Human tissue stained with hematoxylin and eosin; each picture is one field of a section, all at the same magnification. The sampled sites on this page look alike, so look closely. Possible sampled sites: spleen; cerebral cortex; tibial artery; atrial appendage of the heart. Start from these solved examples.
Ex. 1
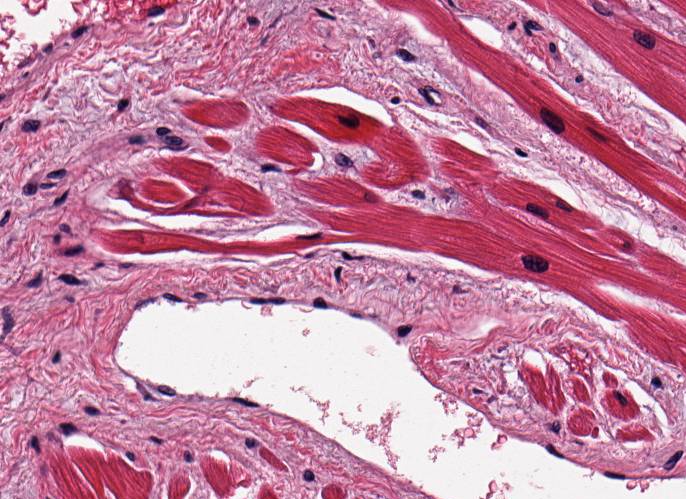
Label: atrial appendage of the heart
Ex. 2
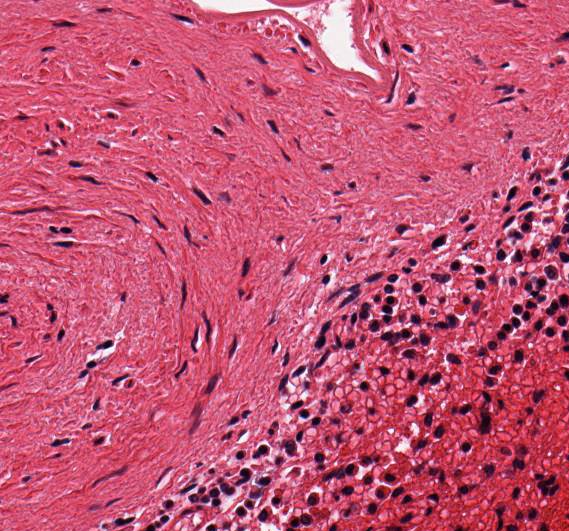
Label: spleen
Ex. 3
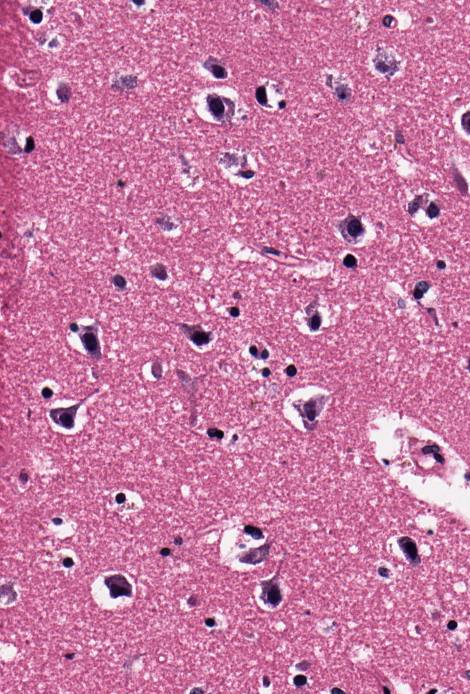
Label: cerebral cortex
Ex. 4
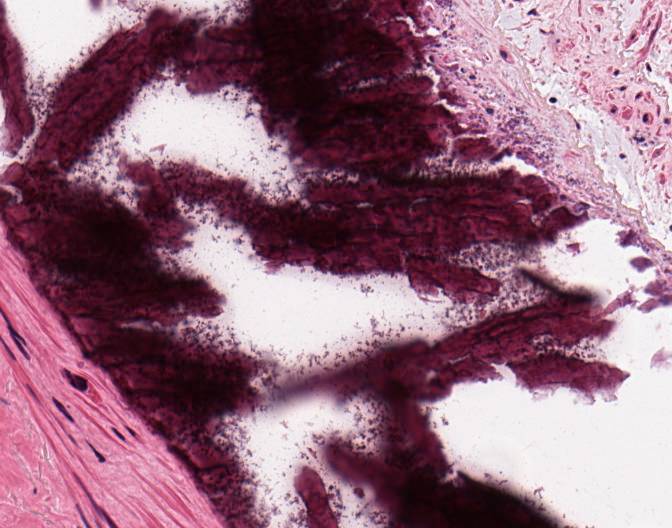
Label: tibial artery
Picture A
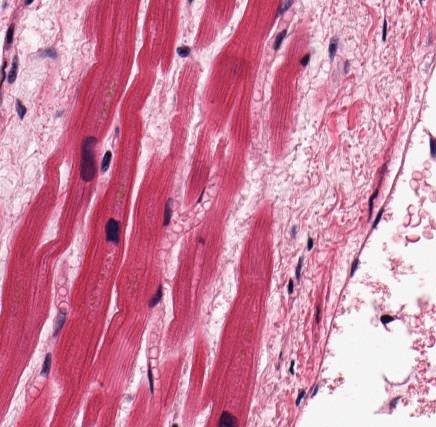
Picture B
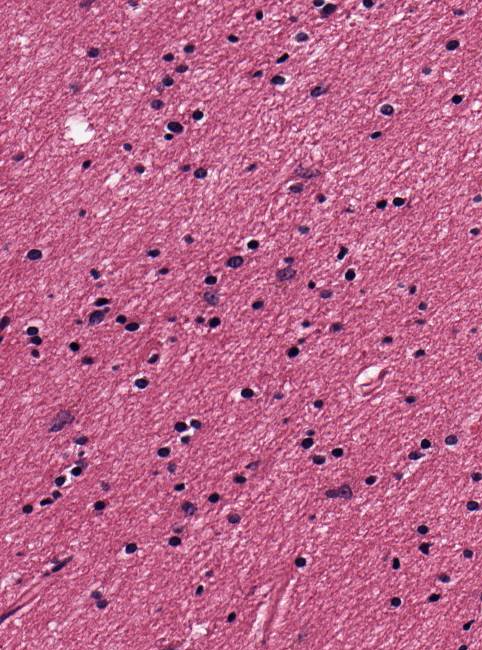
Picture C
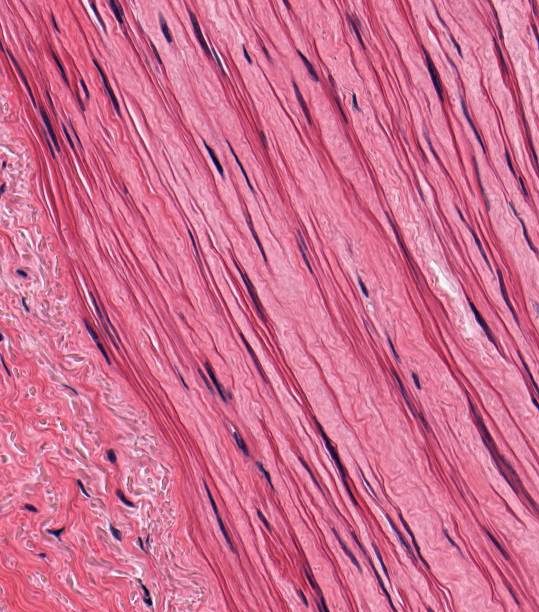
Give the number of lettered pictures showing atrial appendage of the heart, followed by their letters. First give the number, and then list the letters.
1, namely A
